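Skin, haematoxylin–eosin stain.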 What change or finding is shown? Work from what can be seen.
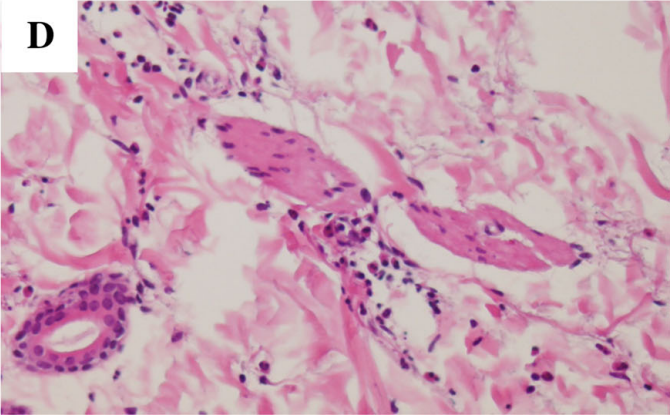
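Small clusters of inflammatory cells lie next to small vessels. The cells sit among loose pink collagen bundles of the dermis. The answer: perivascular dermatitis.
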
